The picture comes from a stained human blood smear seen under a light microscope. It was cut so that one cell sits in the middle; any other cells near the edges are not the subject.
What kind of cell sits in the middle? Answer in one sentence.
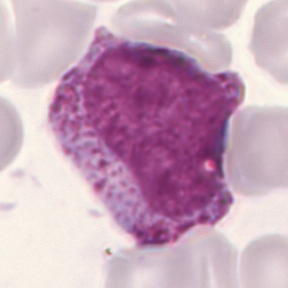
The cell around which this crop is centred is a promyelocyte.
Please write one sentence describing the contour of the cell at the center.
The cytoplasmic margin is uneven, whether through ragged segments or through projections.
